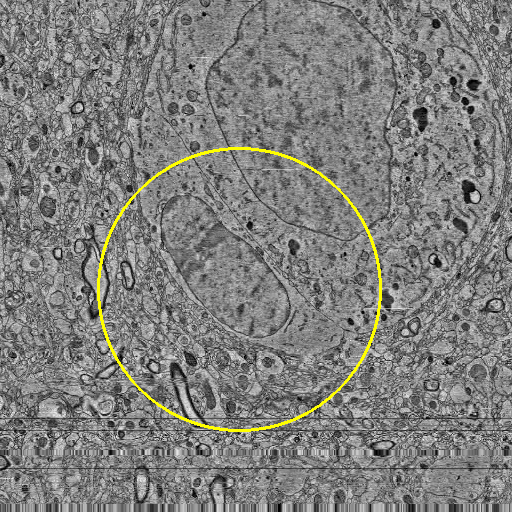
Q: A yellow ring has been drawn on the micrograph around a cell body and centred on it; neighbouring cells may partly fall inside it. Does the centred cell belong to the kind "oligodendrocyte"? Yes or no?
No, it belongs to another kind.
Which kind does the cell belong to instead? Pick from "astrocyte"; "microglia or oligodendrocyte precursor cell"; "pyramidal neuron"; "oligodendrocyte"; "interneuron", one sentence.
What the ring is centred on is a microglial cell or oligodendrocyte precursor cell.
